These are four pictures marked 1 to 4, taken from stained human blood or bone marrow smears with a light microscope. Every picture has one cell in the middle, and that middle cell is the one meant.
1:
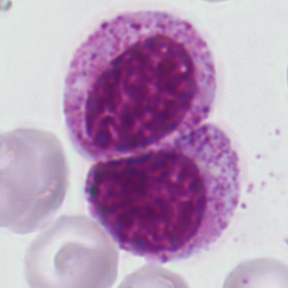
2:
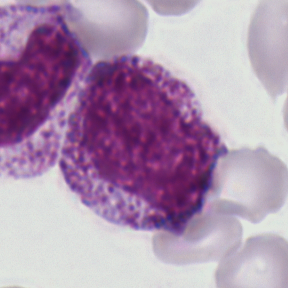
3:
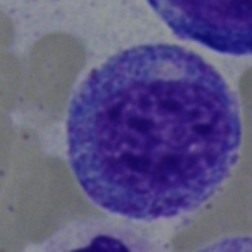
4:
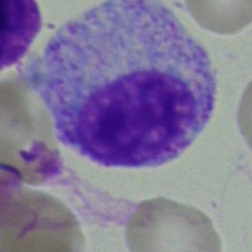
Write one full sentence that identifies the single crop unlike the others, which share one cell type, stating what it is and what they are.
The exception is crop 3, with a promyelocyte; the remaining crops all show myelocytes.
